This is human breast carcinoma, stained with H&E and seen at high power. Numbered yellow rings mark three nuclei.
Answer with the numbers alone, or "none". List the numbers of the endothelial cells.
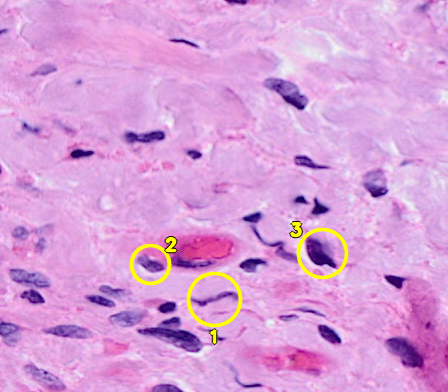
2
